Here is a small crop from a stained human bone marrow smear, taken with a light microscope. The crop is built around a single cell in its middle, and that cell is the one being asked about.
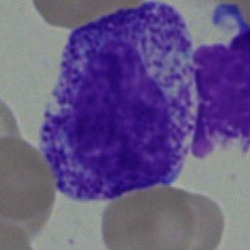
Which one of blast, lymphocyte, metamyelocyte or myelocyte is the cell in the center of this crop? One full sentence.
The center cell of this crop is a myelocyte.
